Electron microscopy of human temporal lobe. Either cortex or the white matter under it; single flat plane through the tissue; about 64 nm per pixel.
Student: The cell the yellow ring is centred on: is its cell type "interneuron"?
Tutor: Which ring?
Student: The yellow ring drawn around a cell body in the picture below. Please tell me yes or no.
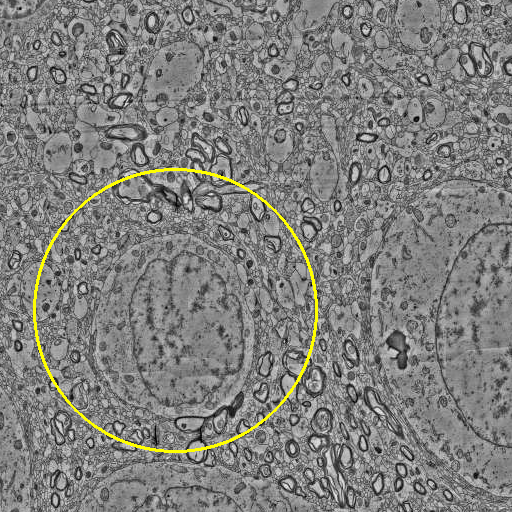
yes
